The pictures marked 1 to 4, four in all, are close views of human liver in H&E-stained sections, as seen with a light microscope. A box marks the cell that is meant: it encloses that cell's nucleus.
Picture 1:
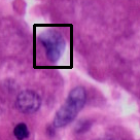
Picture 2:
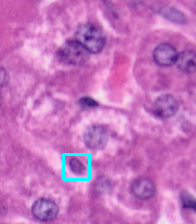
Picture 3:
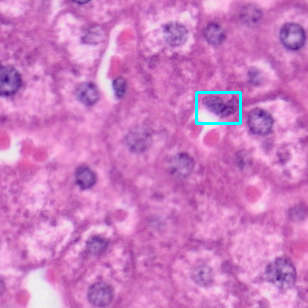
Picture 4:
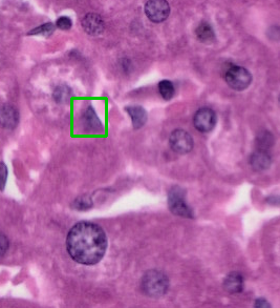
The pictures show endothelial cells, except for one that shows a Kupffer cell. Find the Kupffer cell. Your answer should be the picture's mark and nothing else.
2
